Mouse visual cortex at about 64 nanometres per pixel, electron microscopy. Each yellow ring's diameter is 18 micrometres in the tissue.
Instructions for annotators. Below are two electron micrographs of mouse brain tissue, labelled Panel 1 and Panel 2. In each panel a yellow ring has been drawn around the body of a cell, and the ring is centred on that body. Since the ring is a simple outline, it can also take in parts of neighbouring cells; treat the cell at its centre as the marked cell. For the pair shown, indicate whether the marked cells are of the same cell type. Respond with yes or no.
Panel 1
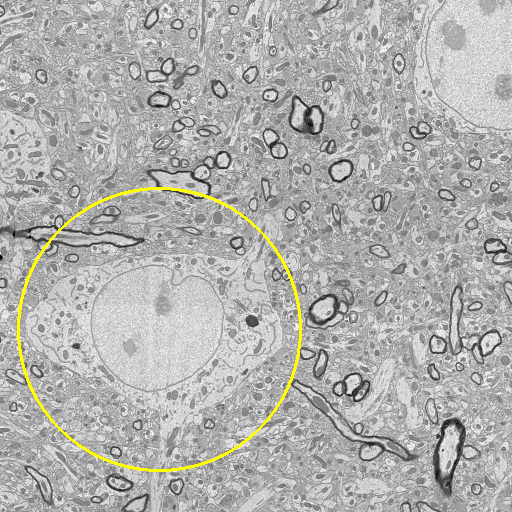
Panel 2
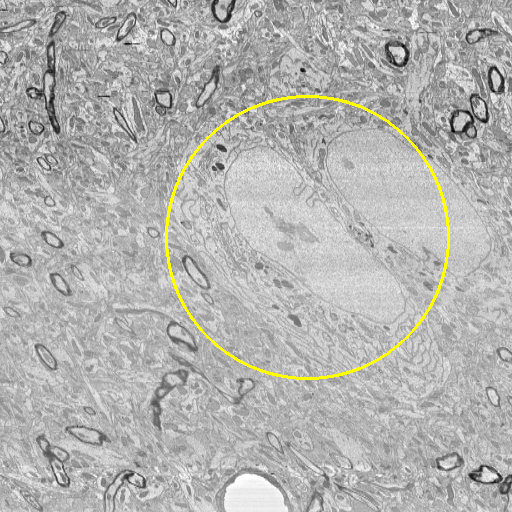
no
